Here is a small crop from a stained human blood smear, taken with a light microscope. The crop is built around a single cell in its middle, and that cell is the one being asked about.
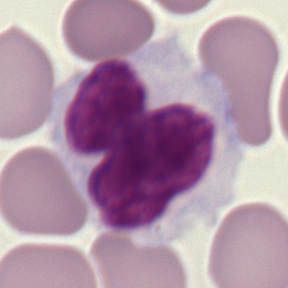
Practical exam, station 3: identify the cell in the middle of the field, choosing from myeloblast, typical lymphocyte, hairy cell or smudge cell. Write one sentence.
Centred in the crop is a hairy cell.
